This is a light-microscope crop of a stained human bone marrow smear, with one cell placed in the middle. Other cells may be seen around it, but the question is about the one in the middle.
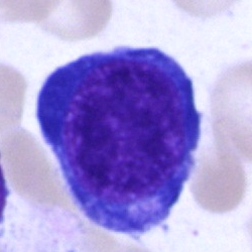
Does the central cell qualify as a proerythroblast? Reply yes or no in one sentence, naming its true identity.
Yes, the central cell of this crop corresponds to a proerythroblast.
